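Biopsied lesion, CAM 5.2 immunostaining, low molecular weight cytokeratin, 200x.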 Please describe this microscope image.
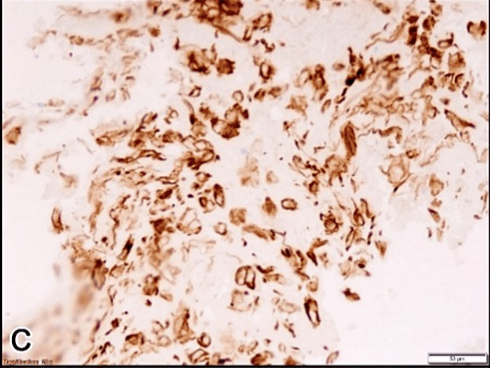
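Loosely arranged tumor cells of varying shape, some elongated and some rounded, lie in a pale background. Most of them carry strong brown colour throughout their cytoplasm, outlining their irregular cell bodies.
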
